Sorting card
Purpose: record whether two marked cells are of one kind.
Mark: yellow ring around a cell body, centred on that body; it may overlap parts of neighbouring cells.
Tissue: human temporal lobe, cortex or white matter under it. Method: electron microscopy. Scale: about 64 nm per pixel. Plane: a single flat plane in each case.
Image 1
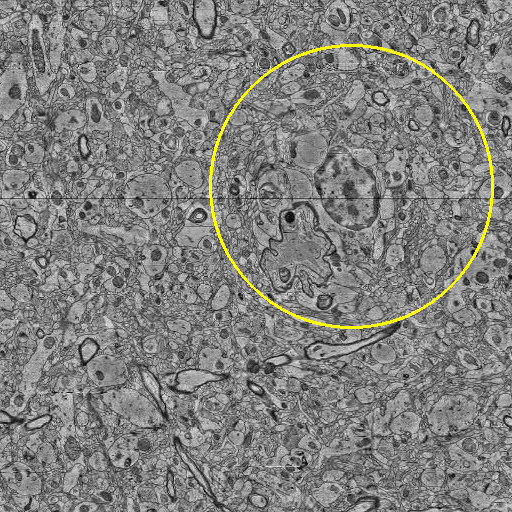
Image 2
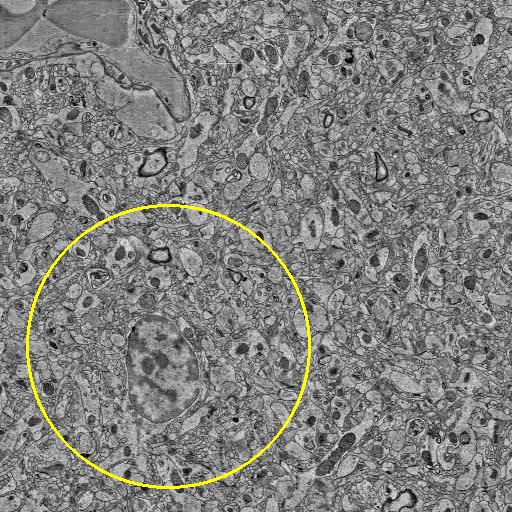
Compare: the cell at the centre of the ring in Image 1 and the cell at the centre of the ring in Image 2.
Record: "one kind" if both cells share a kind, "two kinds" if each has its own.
one kind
